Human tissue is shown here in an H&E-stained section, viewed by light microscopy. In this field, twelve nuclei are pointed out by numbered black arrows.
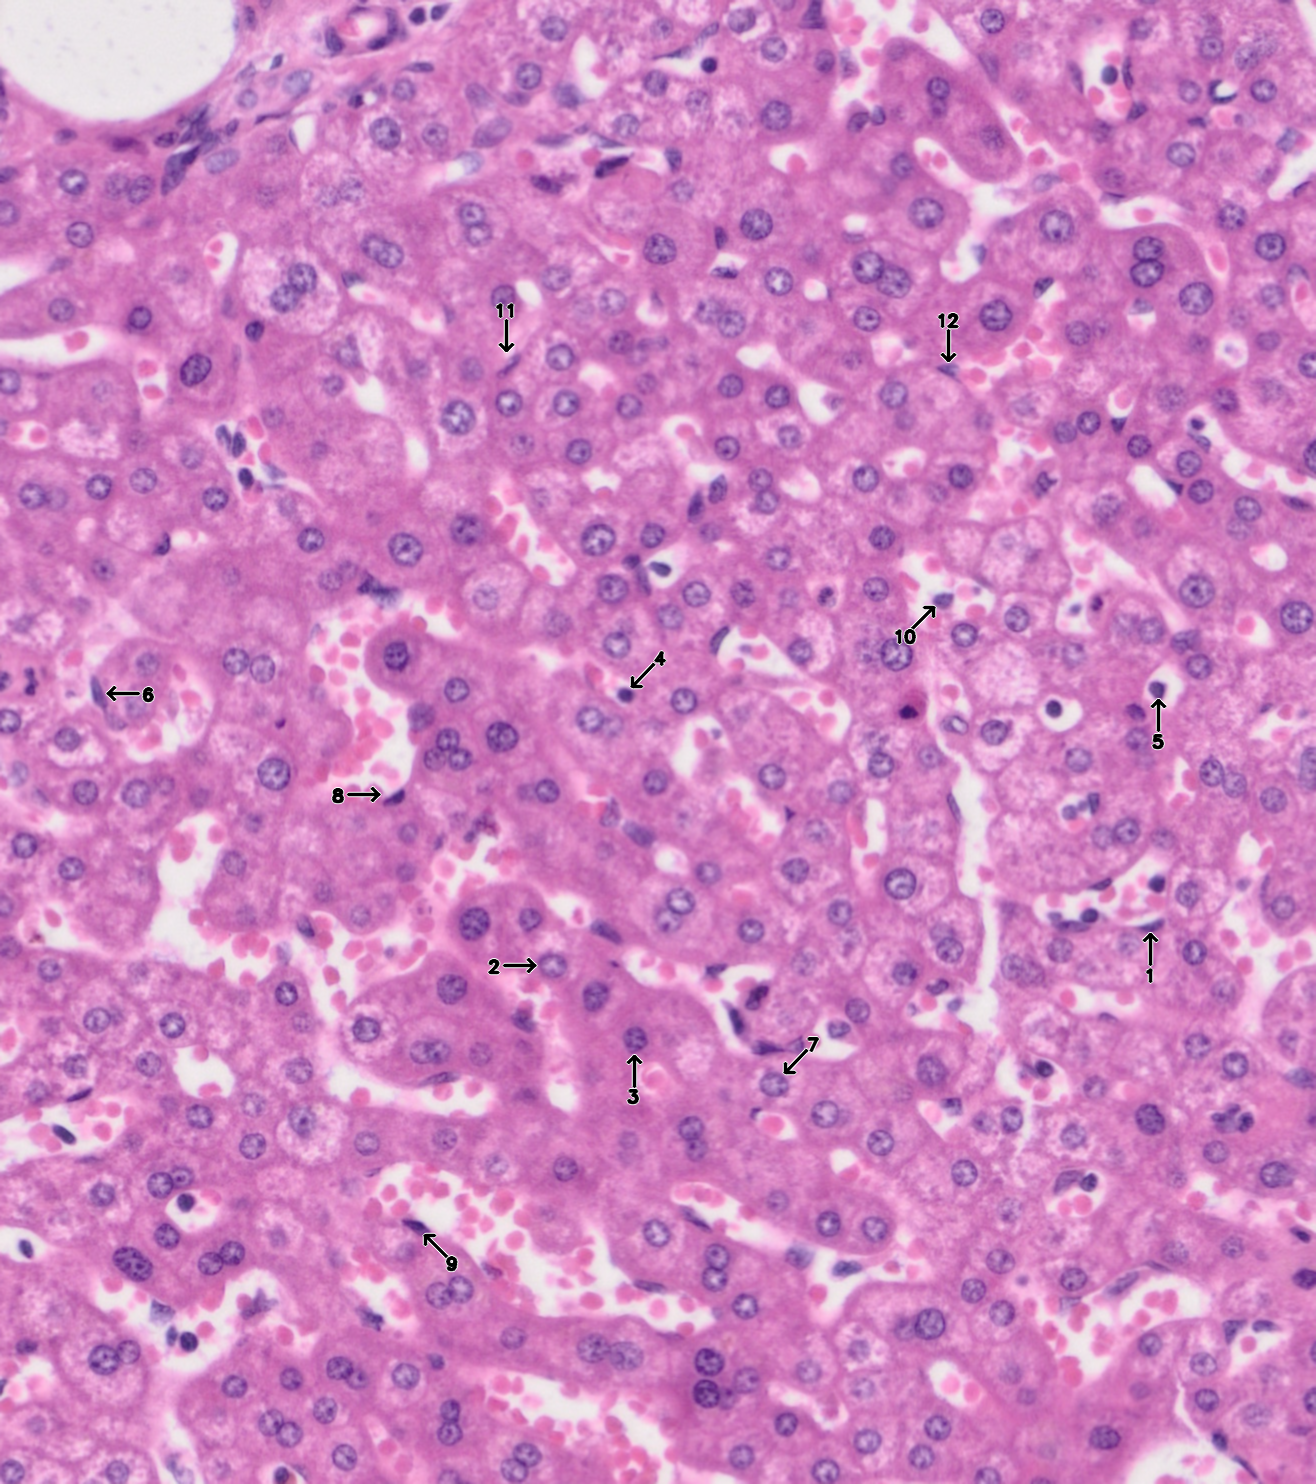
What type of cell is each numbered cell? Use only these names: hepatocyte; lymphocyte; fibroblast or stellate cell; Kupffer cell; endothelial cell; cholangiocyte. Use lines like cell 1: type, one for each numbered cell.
cell 1: fibroblast or stellate cell
cell 2: hepatocyte
cell 3: hepatocyte
cell 4: lymphocyte
cell 5: lymphocyte
cell 6: fibroblast or stellate cell
cell 7: hepatocyte
cell 8: fibroblast or stellate cell
cell 9: fibroblast or stellate cell
cell 10: lymphocyte
cell 11: endothelial cell
cell 12: fibroblast or stellate cell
